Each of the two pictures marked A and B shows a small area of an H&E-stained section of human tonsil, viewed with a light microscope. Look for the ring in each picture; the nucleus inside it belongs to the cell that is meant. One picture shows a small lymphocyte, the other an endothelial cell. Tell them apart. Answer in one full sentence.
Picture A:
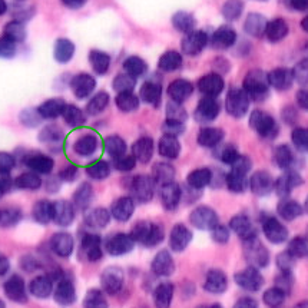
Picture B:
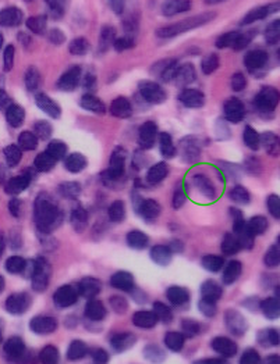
In picture A the cell is a small lymphocyte; in picture B, an endothelial cell.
